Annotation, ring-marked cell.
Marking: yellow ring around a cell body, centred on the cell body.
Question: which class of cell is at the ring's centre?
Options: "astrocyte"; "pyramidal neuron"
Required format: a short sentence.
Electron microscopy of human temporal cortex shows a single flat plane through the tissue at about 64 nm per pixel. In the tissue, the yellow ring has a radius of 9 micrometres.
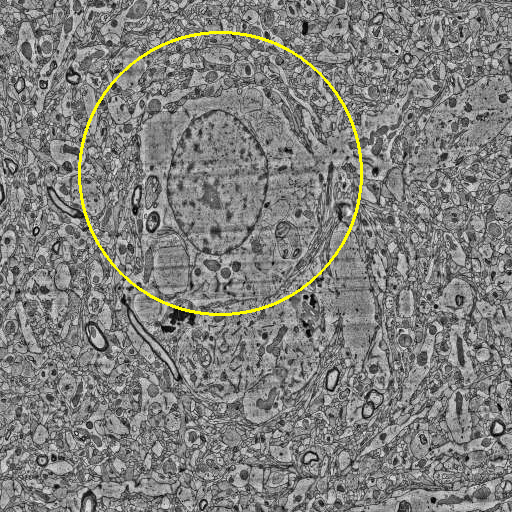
At the ring's centre is an astrocyte.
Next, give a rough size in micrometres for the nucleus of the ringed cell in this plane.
About 9 by 6 micrometers for the nucleus, in this plane.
